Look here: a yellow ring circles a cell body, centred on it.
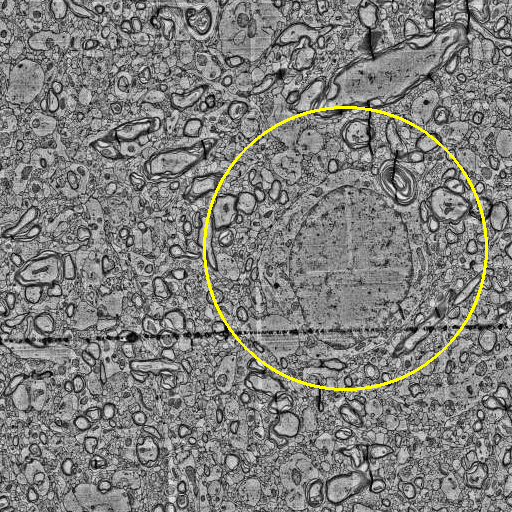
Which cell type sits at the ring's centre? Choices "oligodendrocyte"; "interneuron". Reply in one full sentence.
The cell at the centre of the yellow ring in the picture is an interneuron.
